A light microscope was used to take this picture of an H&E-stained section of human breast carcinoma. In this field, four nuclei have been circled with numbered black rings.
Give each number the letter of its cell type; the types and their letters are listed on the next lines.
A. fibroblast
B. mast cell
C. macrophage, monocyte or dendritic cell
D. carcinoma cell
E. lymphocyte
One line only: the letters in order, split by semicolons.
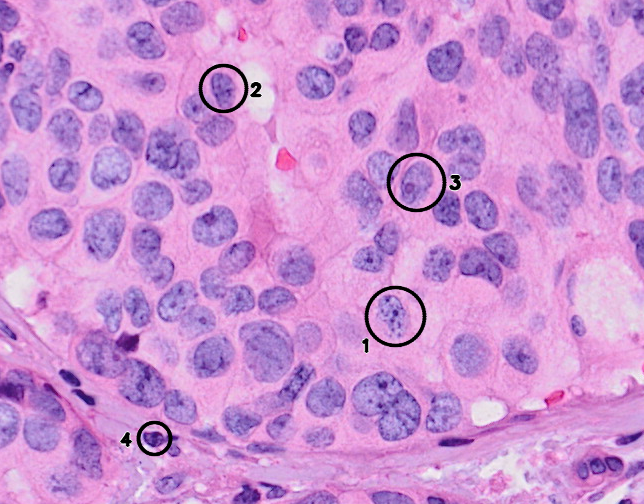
D; D; D; E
